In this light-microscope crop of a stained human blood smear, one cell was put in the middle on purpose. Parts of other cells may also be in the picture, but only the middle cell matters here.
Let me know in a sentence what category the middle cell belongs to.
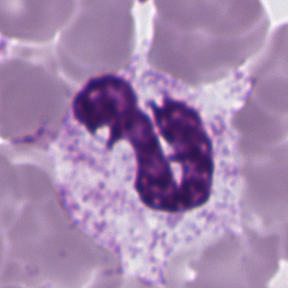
Of the cells in this crop, the central one is a segmented neutrophil.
